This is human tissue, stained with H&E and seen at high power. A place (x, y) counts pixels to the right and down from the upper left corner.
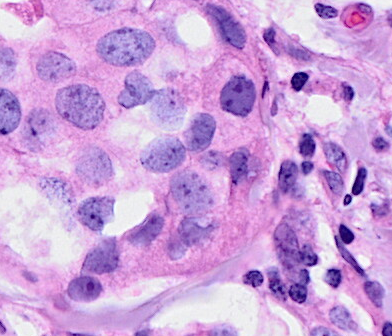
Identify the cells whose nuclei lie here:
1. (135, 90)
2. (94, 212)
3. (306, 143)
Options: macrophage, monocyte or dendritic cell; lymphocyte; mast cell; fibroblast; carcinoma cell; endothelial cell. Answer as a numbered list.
1. carcinoma cell
2. carcinoma cell
3. lymphocyte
